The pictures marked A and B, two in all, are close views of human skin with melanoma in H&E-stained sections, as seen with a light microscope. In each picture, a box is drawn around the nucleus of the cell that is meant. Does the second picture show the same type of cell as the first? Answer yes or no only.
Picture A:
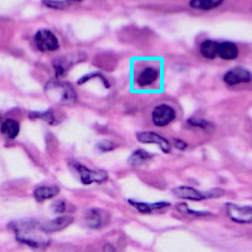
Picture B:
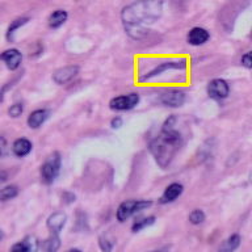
no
